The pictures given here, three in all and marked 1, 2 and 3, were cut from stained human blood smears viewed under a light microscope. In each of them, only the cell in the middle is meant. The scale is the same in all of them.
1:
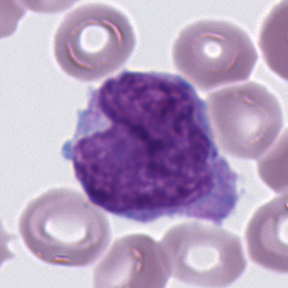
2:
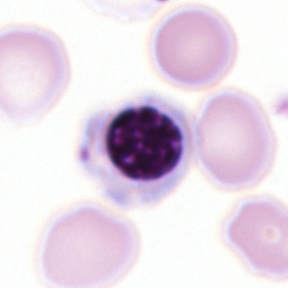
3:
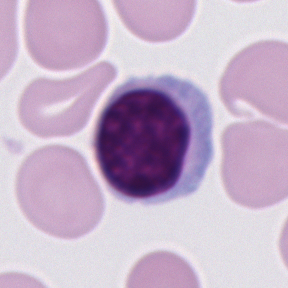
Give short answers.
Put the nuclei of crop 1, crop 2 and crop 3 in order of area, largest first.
1, 3, 2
